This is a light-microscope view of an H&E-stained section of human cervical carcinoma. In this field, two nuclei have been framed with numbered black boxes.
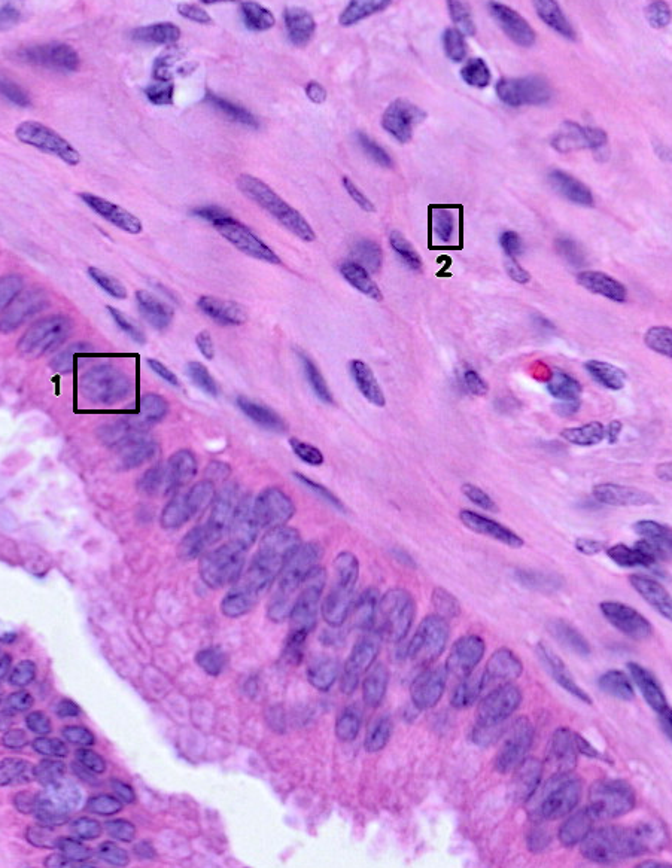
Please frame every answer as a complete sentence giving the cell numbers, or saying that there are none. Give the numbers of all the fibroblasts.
Cell 2 is a fibroblast; the remaining numbered cells are not.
